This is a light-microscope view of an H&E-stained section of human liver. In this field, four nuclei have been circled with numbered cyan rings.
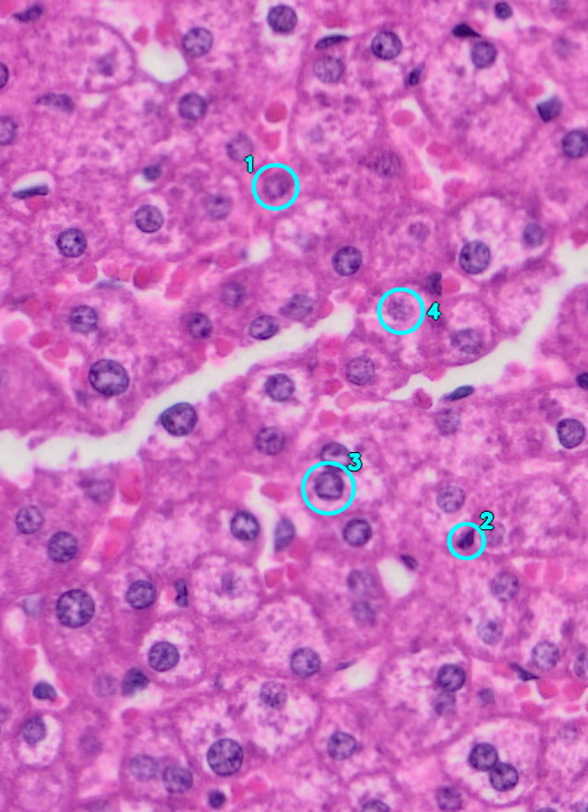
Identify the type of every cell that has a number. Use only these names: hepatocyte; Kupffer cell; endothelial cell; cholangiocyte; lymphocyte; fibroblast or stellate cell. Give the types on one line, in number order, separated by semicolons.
hepatocyte; fibroblast or stellate cell; hepatocyte; hepatocyte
